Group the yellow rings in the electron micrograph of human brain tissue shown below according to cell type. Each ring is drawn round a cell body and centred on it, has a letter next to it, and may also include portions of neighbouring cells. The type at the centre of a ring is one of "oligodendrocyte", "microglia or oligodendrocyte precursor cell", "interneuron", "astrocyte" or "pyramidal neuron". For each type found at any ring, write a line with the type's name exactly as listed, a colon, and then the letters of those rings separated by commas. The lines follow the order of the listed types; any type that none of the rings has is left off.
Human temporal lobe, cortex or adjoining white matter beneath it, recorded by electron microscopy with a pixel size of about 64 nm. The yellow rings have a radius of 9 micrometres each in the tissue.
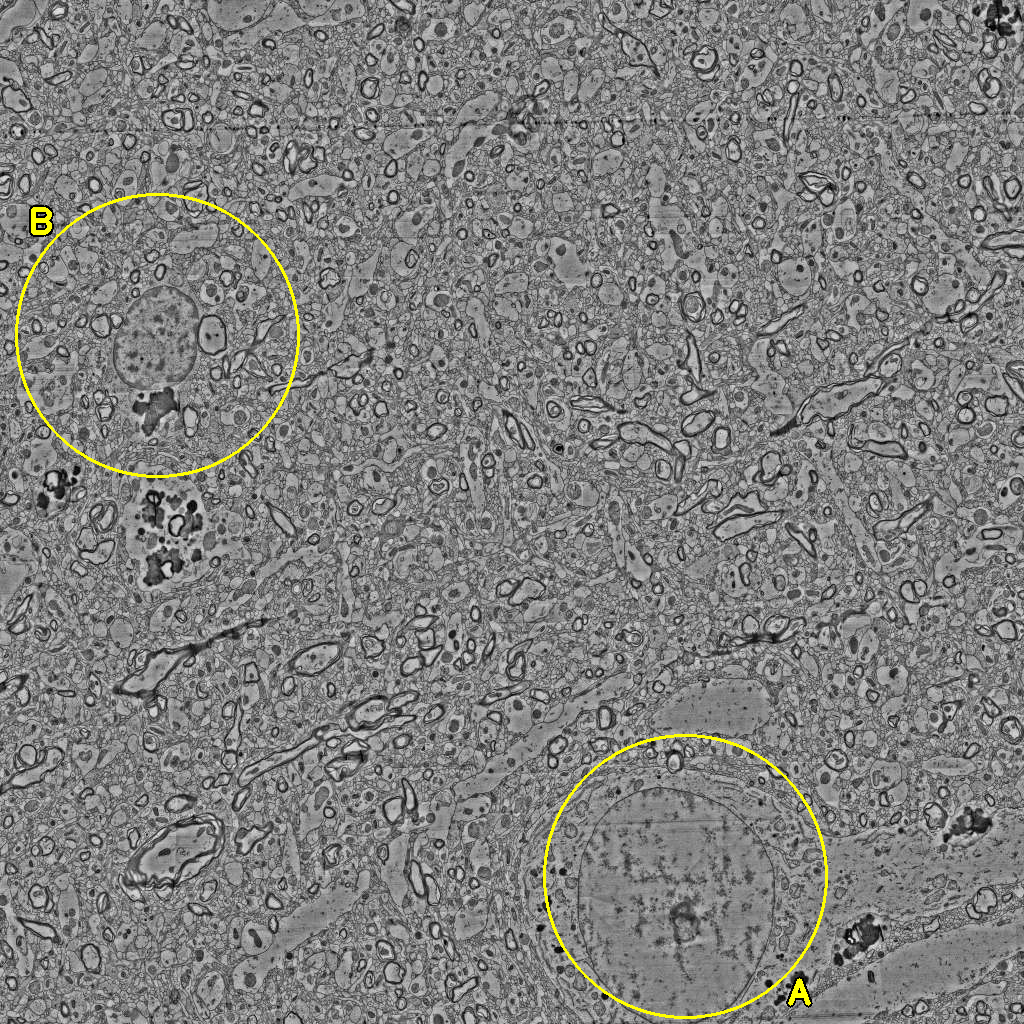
oligodendrocyte: B
pyramidal neuron: A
